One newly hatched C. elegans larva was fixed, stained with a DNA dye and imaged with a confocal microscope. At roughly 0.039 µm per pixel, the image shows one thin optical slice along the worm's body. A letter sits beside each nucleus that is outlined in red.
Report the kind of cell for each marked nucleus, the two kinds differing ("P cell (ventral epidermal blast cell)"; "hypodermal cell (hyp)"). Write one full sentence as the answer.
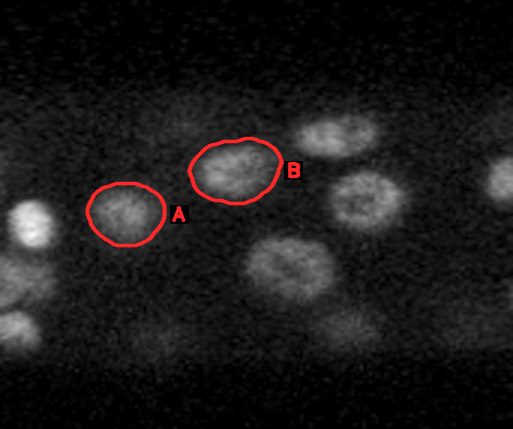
A belongs to a hypodermal cell (hyp) and B to a P cell (ventral epidermal blast cell).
